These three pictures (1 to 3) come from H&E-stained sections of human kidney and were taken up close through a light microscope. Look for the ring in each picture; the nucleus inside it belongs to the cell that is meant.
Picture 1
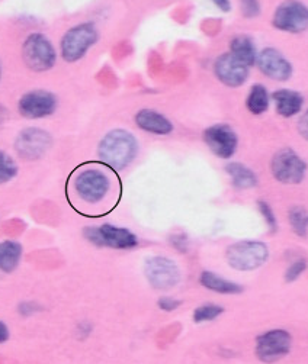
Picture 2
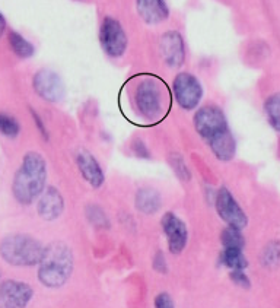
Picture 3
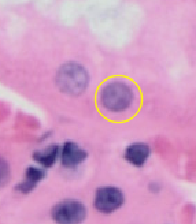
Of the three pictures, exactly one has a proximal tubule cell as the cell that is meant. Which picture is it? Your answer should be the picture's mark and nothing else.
3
